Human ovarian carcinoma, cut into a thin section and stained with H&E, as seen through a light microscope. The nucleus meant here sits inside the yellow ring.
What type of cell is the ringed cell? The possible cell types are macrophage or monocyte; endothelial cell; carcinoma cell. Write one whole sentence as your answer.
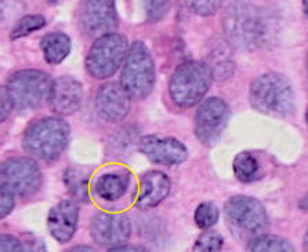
Right, so the ringed cell is a macrophage or monocyte, to answer that.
